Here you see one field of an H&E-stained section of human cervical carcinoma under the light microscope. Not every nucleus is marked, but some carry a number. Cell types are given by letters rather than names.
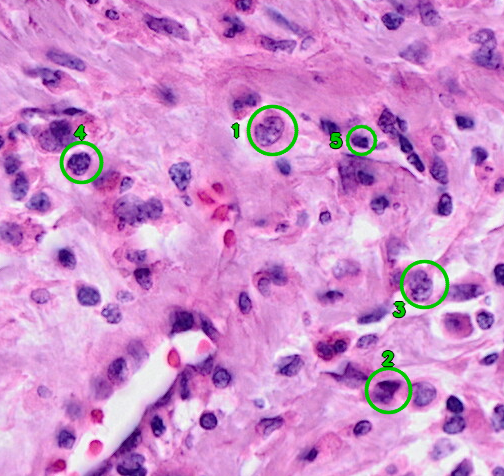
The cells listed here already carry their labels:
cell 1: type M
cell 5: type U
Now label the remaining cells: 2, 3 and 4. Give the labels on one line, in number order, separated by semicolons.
type M; type M; type U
